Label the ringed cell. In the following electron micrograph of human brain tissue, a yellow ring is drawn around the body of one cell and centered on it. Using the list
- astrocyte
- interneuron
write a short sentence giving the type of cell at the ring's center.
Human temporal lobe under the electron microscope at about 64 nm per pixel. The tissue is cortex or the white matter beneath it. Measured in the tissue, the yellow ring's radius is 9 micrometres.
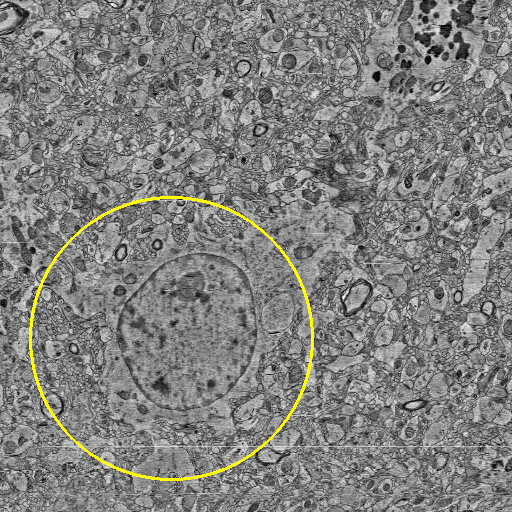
The cell body at the ring's center is that of an astrocyte.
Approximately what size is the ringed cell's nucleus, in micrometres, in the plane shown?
The nucleus is approximately 11 micrometers long by 9 micrometers wide in this plane.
